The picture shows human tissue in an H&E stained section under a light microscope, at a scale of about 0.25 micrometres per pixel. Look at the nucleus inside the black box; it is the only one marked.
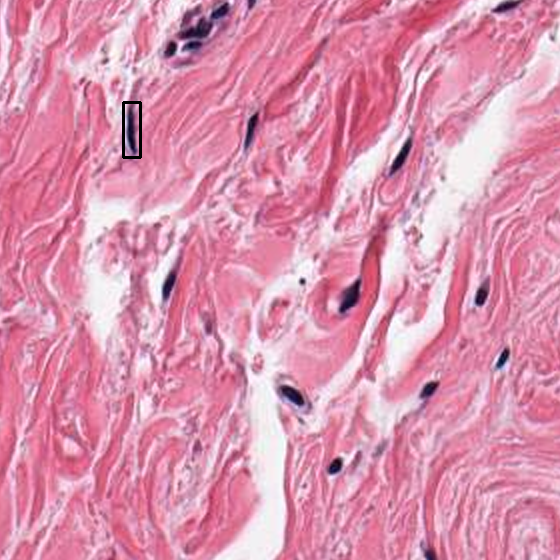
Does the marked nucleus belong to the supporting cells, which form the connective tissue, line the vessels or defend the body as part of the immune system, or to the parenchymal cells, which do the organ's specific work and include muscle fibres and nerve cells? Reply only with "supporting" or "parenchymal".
supporting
